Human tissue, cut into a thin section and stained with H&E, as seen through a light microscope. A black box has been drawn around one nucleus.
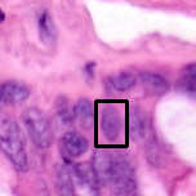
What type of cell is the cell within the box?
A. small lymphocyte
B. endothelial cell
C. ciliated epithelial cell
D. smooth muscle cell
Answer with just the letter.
C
